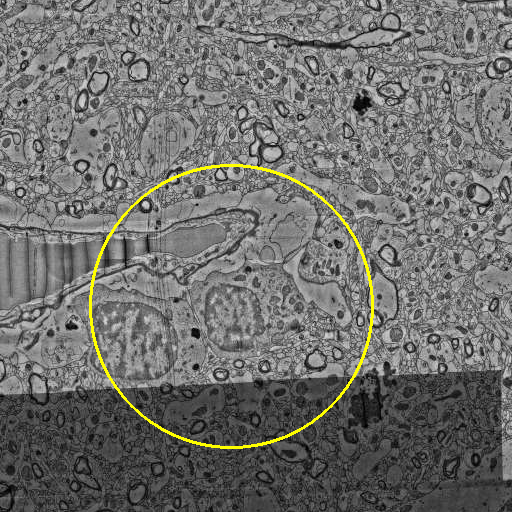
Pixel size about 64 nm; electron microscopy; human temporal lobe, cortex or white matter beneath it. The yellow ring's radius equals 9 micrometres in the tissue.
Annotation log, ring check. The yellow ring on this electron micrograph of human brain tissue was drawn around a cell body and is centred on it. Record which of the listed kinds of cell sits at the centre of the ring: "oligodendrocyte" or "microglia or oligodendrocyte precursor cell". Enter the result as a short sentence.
The cell at the centre of the ring is an oligodendrocyte.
